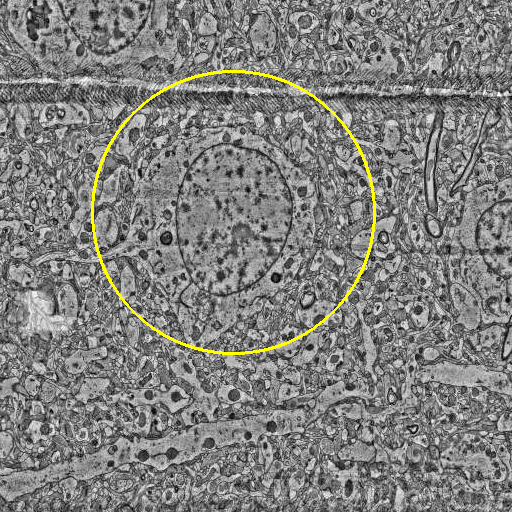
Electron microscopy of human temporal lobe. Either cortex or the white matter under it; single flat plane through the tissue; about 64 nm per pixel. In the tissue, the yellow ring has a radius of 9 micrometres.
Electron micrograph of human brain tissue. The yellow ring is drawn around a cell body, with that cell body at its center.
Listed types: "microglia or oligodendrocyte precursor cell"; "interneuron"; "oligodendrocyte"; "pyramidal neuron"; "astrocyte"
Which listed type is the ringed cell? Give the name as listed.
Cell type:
pyramidal neuron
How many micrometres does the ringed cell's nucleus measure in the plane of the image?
The nucleus has a long axis of about 10 micrometres and a short axis of about 8 micrometres in this plane.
